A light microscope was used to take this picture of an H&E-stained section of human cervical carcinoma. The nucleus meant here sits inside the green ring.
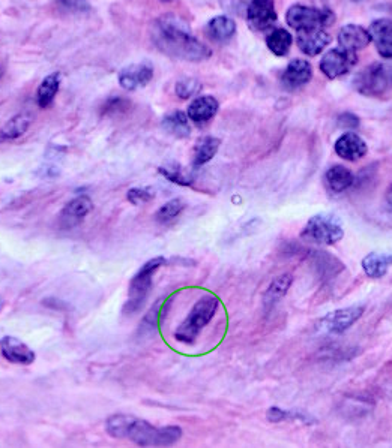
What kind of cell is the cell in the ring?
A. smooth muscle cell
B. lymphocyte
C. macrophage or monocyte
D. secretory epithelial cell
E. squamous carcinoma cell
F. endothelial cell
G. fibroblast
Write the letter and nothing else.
B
